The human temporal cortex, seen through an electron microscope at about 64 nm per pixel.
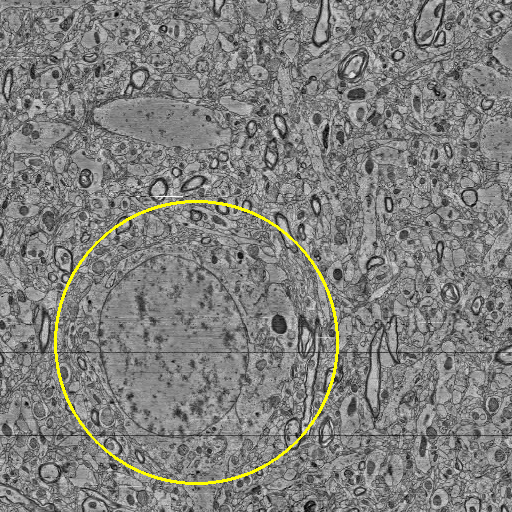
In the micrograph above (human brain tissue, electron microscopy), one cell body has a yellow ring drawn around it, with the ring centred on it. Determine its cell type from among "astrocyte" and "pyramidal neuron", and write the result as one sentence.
The cell whose body is ringed is a pyramidal neuron.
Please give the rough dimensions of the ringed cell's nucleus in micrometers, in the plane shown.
The nucleus measures about 12 by 10 micrometres in this plane.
